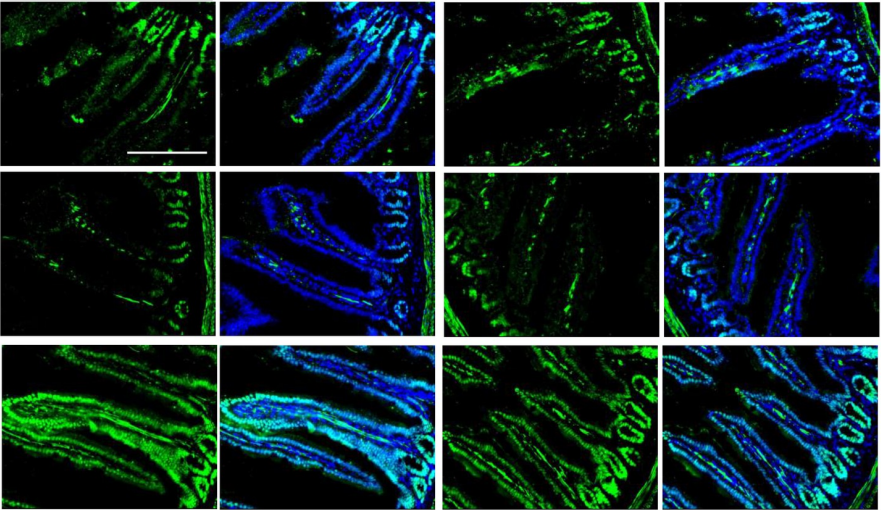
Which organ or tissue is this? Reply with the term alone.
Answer: Intestinal villus.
